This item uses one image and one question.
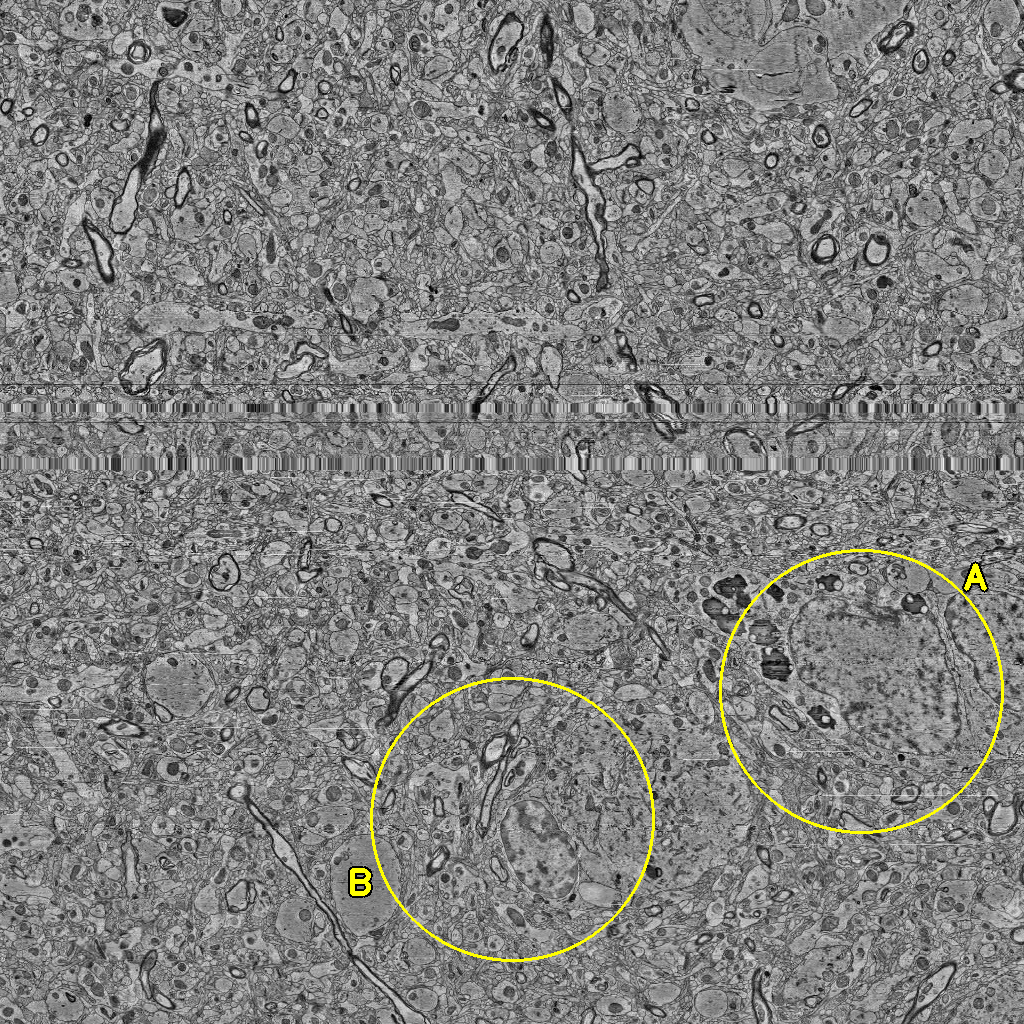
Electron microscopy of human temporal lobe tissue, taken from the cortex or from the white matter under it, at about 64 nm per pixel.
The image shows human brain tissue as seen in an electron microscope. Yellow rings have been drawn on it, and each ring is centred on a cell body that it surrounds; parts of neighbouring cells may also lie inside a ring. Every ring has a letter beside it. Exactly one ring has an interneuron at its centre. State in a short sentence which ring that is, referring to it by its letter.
Ring A has that cell at its centre.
